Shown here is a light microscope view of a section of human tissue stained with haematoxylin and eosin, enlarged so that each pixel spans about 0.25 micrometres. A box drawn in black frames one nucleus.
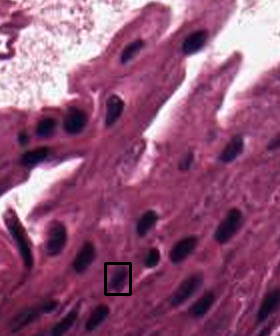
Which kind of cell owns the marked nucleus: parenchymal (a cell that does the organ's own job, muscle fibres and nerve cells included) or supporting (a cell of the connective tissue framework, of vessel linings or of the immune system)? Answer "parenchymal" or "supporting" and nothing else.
parenchymal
